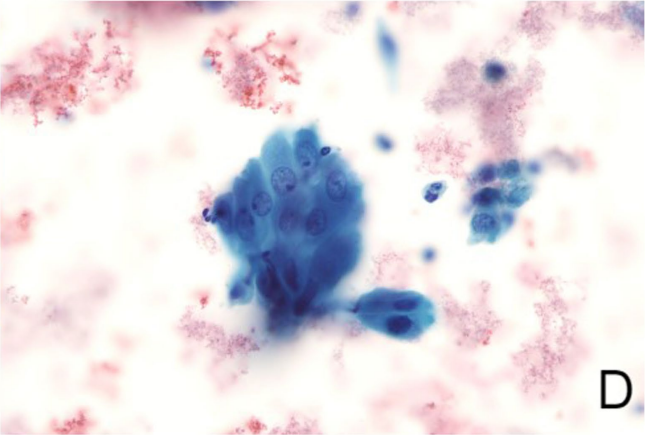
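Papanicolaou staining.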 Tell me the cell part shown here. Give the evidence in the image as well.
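Nuclei in the cluster show distinct round dark dots within them. Cells in the cluster differ in size. That points to this answer: prominent round nucleoli.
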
